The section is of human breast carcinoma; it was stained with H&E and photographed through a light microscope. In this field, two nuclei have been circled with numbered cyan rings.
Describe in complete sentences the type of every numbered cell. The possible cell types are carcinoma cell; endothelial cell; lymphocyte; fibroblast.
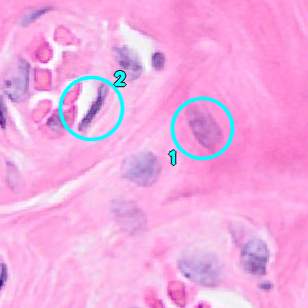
Cell 1 is a fibroblast and cell 2 is an endothelial cell.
